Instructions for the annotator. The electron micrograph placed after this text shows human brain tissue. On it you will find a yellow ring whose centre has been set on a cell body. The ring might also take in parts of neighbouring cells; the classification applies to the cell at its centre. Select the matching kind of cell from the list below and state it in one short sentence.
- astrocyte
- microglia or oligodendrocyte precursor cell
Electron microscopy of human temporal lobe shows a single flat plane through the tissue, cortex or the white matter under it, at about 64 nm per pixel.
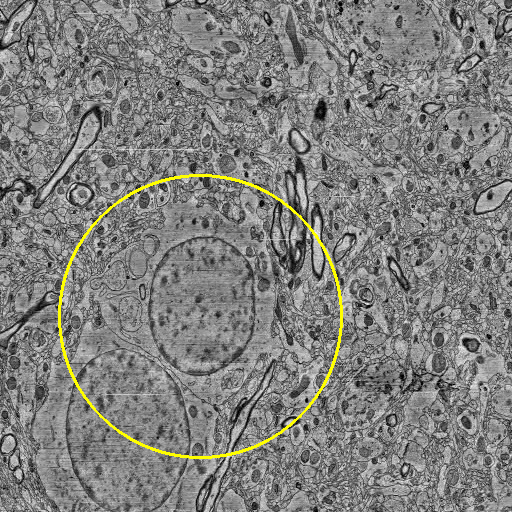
The ring is drawn on the cell body of an astrocyte.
